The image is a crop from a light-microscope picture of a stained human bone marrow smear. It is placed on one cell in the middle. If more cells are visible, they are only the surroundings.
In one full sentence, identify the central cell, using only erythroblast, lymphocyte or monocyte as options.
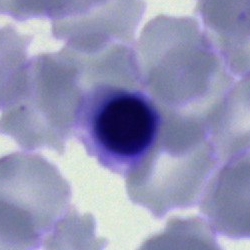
Classification of the middle cell gives an erythroblast.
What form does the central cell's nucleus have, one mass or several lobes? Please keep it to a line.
Its nucleus is compact and single, with a round, oval or kidney-shaped form.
